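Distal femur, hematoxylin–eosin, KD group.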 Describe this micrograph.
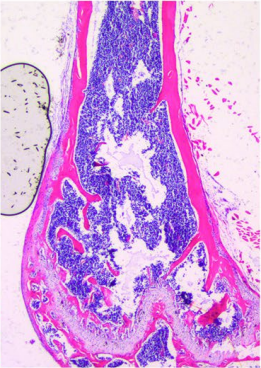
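Pink cortical bone forms the side walls, and the marrow cavity between them is filled with purple marrow cells. Within the marrow there are several pale, empty-looking white patches, and only a few thin pink trabeculae are seen in the widened lower end. At the bottom the bone end shows a paler band of cartilage with a more pinkish epiphysis below.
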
